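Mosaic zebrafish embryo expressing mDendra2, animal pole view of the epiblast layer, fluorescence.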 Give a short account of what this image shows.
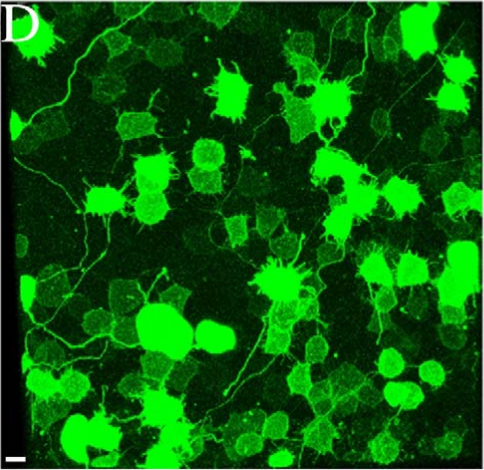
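Some cells are smoothly rounded or polygonal while others are ragged, bearing many short spiky protrusions. Long, very thin green threads run for great distances between cells, forming intercellular bridges that connect cells far apart from each other.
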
